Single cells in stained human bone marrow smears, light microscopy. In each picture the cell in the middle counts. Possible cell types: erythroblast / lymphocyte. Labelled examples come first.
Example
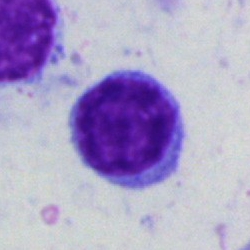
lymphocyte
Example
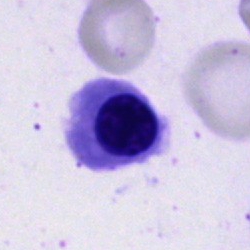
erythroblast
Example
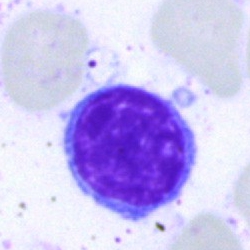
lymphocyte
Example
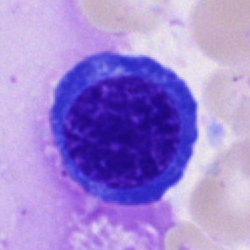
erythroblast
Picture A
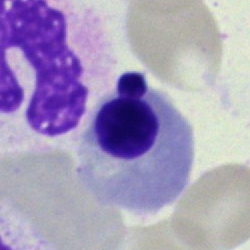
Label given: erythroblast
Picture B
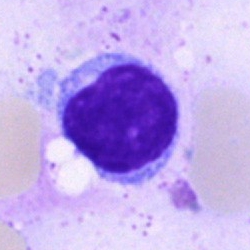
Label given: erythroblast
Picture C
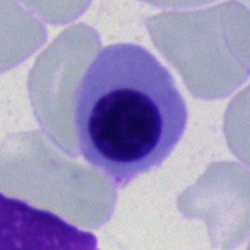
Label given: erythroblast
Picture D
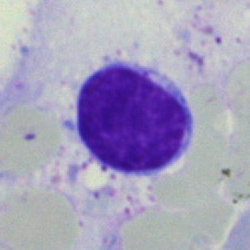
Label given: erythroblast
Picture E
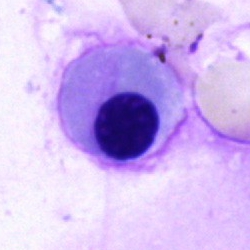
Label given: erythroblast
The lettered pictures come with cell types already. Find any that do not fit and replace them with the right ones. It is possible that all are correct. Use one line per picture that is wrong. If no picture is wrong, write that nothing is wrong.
Wrong: B (erythroblast); correct: lymphocyte
Wrong: D (erythroblast); correct: lymphocyte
